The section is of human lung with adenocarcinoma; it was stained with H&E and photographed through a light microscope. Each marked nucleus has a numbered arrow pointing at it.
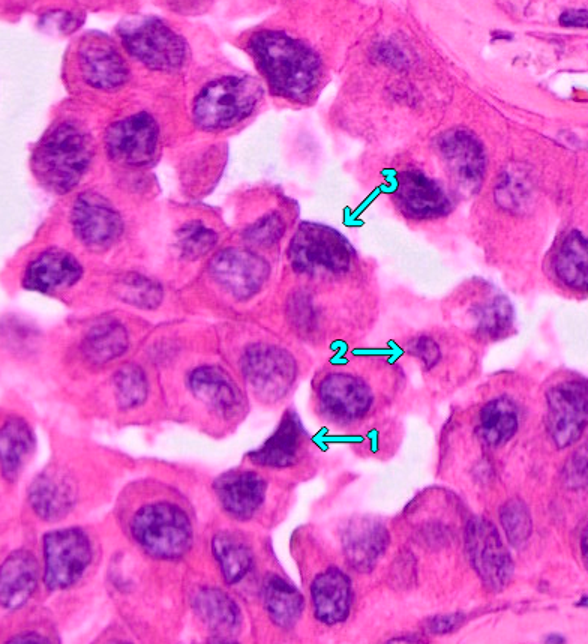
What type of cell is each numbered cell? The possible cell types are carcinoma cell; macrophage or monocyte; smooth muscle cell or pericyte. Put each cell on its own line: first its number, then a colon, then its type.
1: carcinoma cell
2: macrophage or monocyte
3: carcinoma cell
